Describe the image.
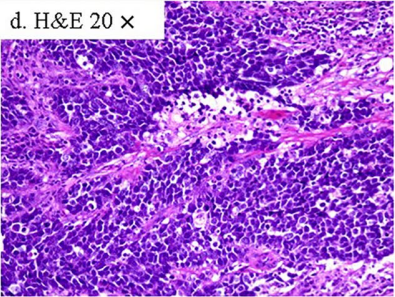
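The nuclei are round to oval, dark purple and crowded, with very little pale cytoplasm around them, so the cells appear almost bare-nucleated. The sheets form no glands and are divided by thin bands of pink fibrous stroma. Some areas show disintegrating cells with fragmented nuclear debris.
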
